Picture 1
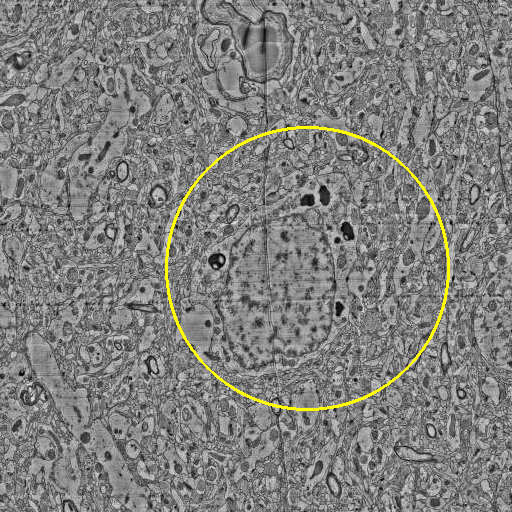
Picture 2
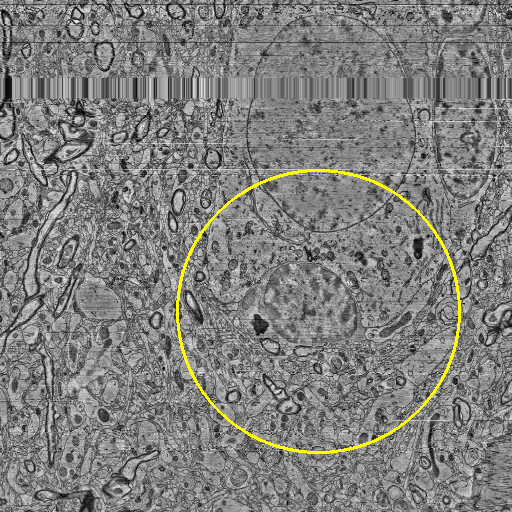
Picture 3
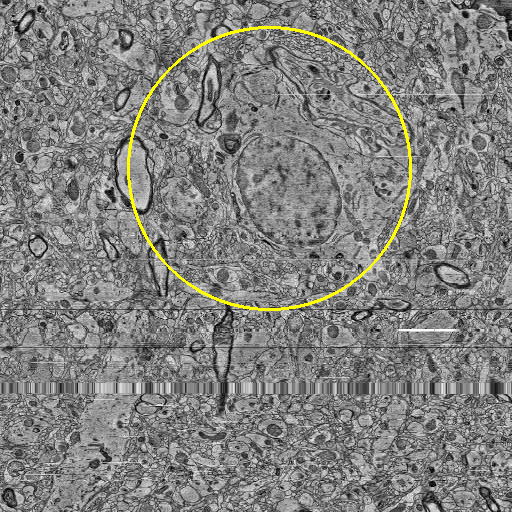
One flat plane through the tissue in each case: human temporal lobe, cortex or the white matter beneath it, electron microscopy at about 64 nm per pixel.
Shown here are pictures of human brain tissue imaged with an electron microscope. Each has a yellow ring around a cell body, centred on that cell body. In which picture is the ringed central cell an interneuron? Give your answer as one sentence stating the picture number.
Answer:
My answer is picture 1, where the ringed cell at the centre is the one sought.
